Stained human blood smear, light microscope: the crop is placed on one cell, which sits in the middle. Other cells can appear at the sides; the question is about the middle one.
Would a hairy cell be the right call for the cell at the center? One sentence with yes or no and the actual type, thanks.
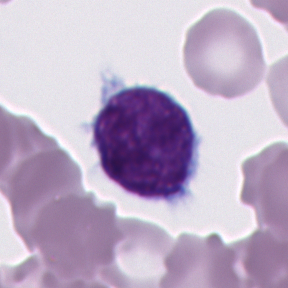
Yes, the cell at the centre is designated a hairy cell.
